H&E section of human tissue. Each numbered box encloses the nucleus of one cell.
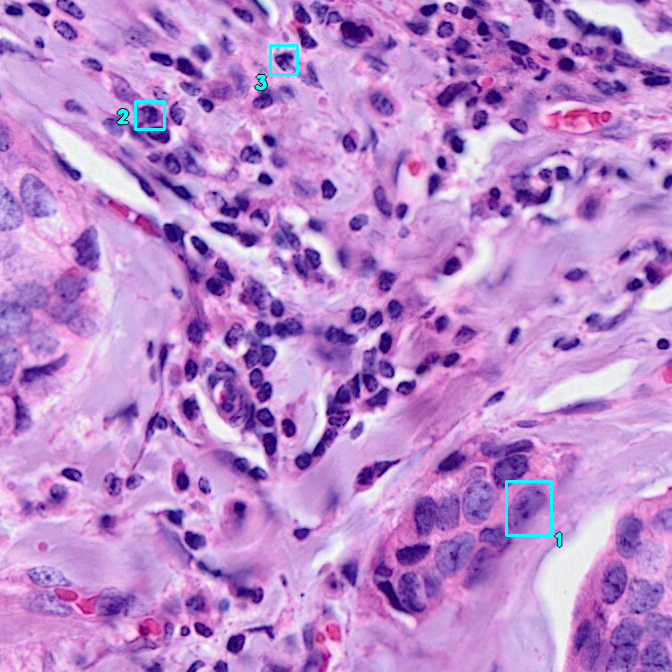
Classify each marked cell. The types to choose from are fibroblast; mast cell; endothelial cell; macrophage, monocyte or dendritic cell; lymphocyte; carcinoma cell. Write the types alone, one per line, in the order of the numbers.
carcinoma cell
lymphocyte
lymphocyte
